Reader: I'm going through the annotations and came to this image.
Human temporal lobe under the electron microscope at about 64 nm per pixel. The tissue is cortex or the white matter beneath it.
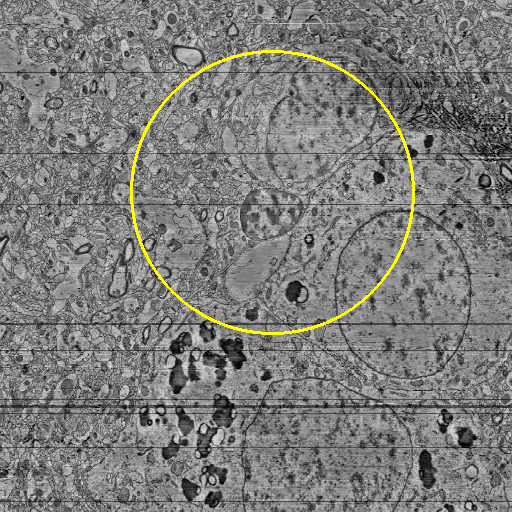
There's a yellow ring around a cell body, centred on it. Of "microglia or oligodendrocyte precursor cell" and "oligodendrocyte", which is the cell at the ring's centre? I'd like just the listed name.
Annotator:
microglia or oligodendrocyte precursor cell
